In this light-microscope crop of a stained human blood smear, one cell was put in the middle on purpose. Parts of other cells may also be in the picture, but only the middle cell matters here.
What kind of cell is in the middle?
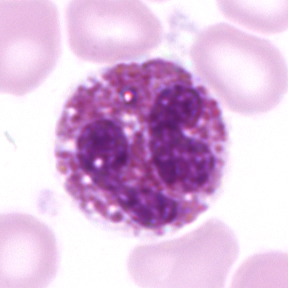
eosinophil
